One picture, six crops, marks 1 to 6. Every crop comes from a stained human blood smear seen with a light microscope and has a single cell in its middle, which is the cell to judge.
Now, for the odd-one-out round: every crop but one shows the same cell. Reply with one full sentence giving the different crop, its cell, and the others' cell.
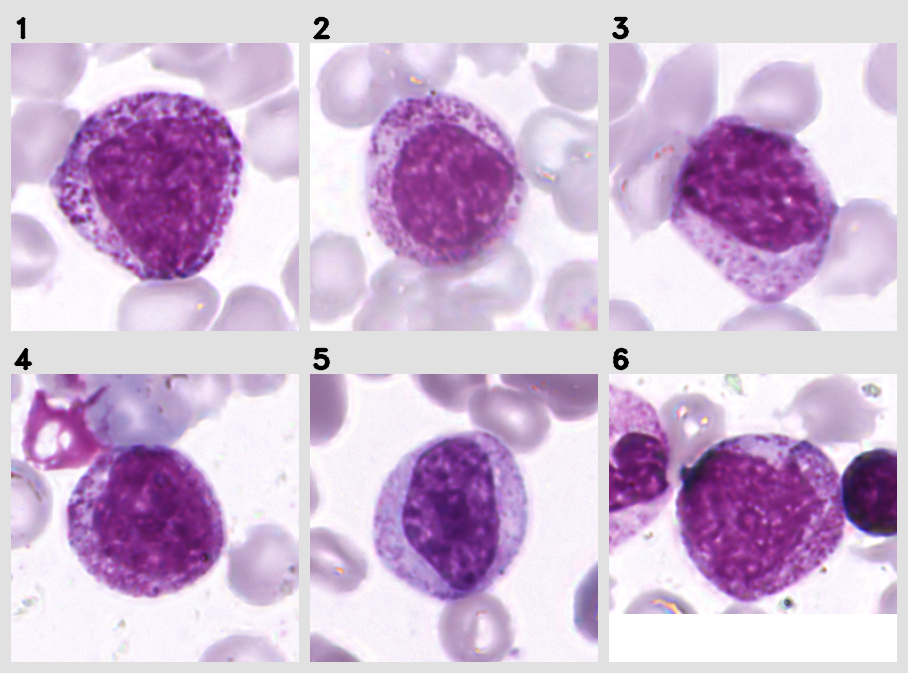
Crop 5 is the exception in this set, showing a metamyelocyte while the others show myelocytes.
